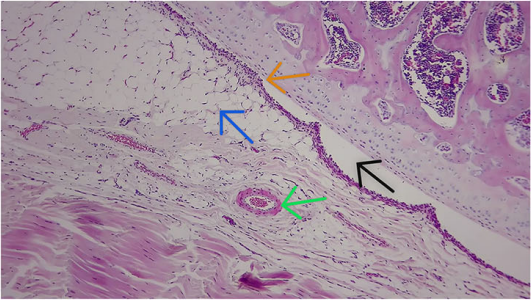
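The synovial surface facing the joint space is lined by a band crowded with small dark purple nuclei. Beneath it lies a zone of pale, empty-looking vacuoles resembling fat, followed by looser fibrous tissue with elongated nuclei. A blood vessel containing red cells is cut in cross section within this fibrous tissue, and dense pink collagenous bundles fill the lower left corner.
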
